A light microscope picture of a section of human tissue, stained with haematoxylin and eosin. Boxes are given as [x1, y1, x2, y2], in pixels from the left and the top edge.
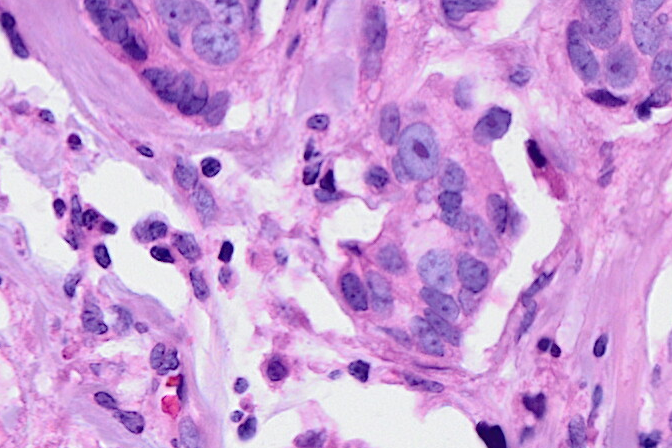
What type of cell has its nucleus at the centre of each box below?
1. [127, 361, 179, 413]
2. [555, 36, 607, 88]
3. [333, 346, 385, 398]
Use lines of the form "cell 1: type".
cell 1: endothelial cell
cell 2: carcinoma cell
cell 3: lymphocyte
